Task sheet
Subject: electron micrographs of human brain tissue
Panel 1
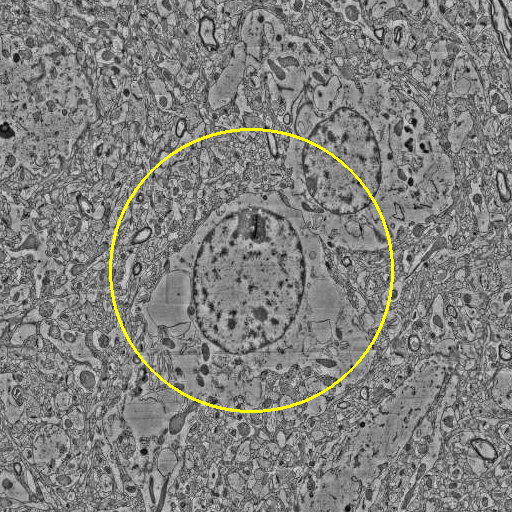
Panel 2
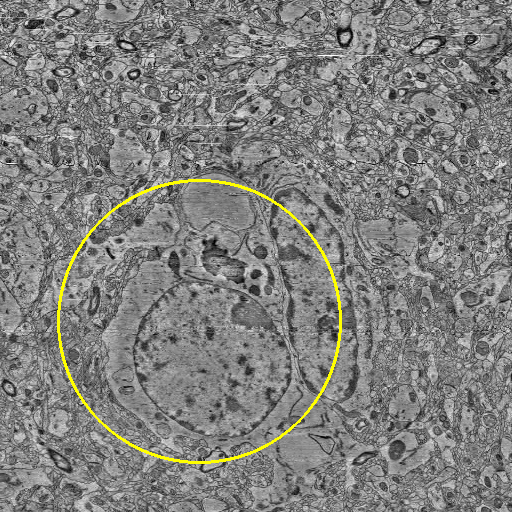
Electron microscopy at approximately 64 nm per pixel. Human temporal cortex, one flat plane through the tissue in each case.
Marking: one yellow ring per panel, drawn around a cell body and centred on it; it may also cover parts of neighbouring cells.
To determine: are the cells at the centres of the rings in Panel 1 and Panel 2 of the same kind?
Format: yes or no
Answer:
yes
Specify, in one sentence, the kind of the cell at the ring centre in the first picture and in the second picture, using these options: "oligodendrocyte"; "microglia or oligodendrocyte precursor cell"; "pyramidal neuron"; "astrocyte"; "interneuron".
Both the first and the second picture show an astrocyte in the ring.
